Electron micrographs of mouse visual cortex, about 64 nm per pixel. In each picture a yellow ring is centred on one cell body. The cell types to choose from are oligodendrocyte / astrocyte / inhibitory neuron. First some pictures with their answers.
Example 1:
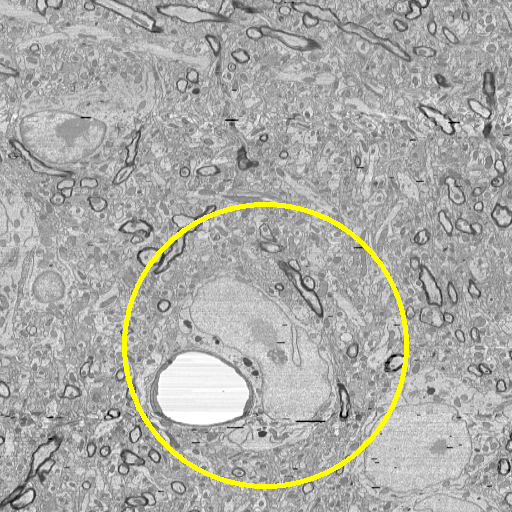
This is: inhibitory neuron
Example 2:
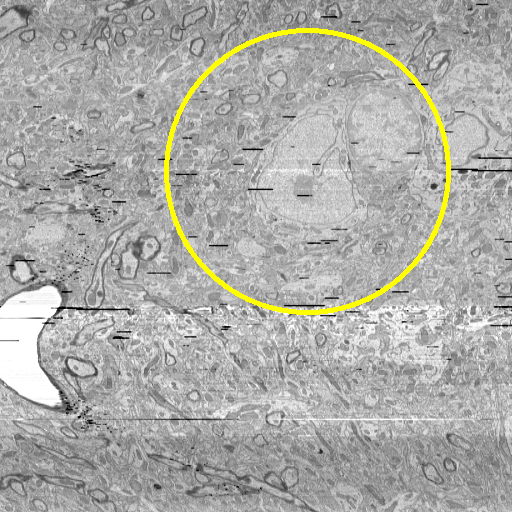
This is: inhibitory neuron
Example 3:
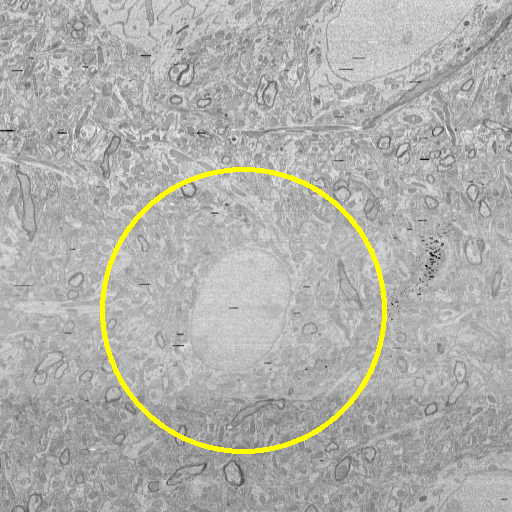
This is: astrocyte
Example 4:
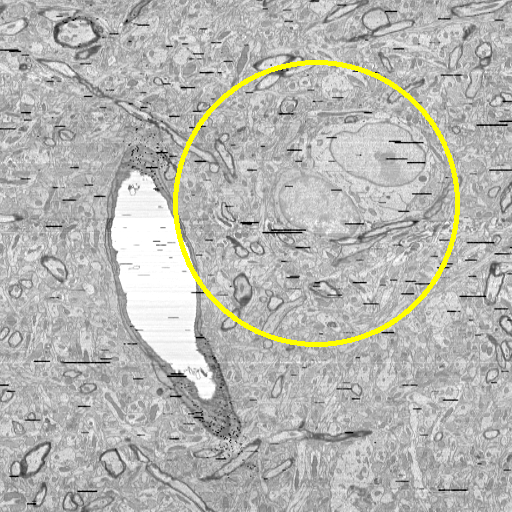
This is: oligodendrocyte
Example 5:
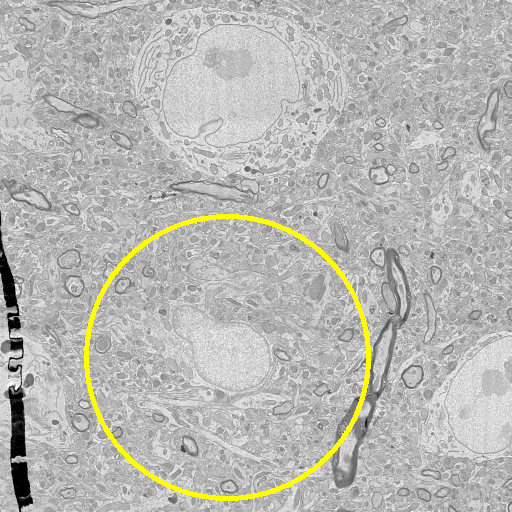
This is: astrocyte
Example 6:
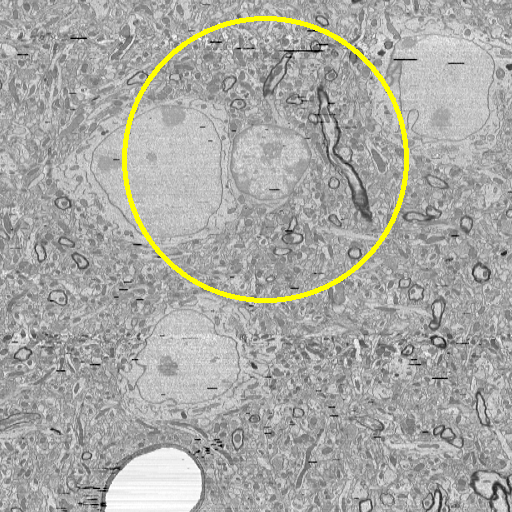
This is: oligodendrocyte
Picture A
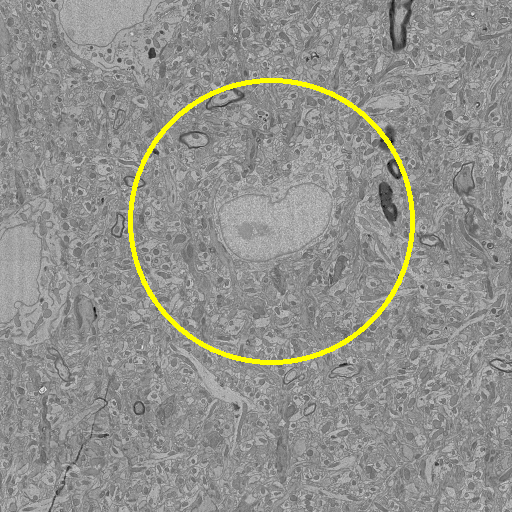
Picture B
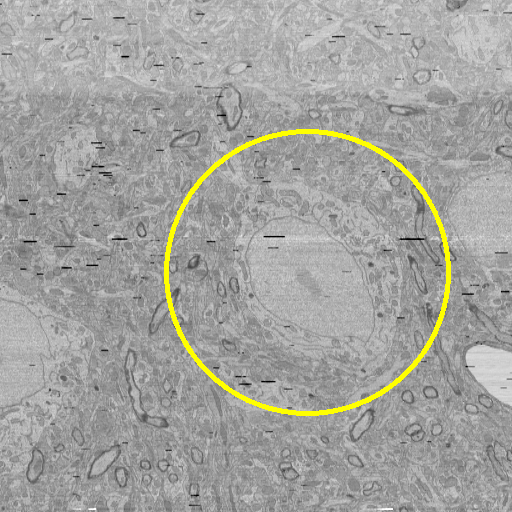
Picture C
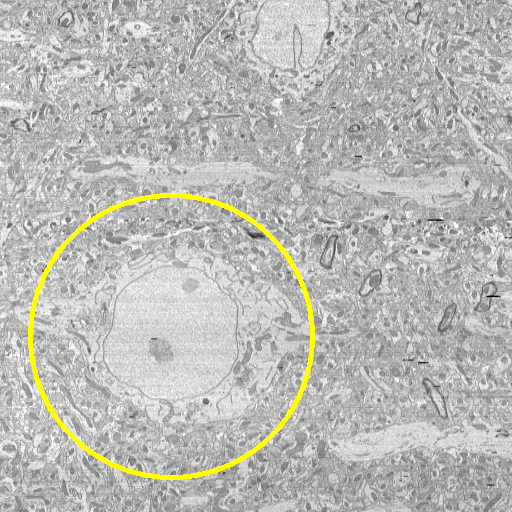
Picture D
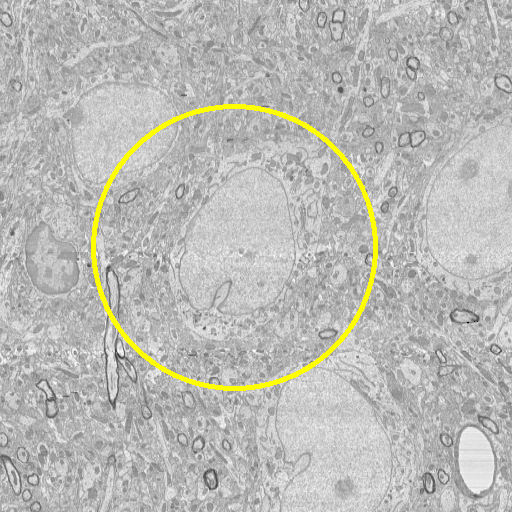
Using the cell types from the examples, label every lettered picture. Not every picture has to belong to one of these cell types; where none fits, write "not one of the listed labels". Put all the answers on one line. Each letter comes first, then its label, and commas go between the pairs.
A astrocyte, B inhibitory neuron, C not one of the listed labels, D inhibitory neuron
